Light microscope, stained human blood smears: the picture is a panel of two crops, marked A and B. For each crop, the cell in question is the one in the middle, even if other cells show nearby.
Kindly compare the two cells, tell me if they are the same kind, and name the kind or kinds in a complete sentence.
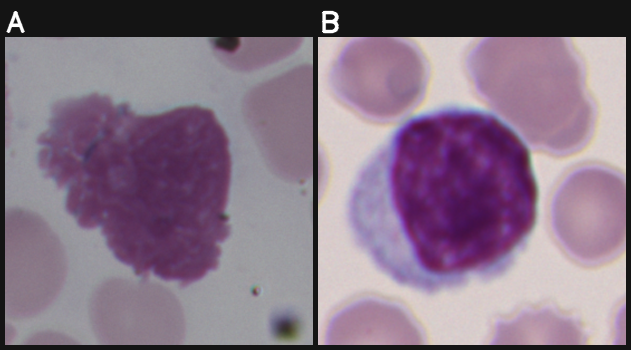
No, shown in crop A is a smudge cell, and shown in crop B is a typical lymphocyte.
